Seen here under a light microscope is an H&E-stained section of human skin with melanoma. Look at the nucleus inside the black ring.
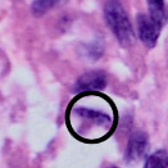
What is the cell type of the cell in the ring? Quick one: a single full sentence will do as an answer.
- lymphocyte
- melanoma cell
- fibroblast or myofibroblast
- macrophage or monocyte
For cell typing purposes, the cell in the ring is a melanoma cell.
